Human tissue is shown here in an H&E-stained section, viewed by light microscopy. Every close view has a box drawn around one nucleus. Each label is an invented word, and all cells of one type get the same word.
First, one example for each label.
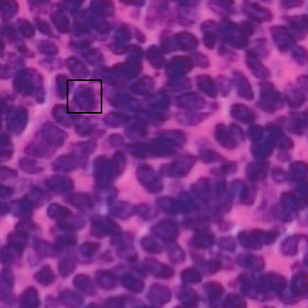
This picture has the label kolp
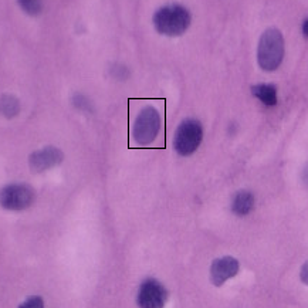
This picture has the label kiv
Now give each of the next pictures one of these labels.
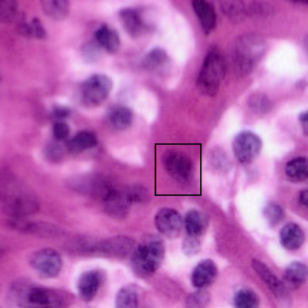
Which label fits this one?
kiv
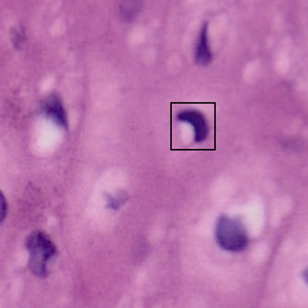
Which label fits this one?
kiv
